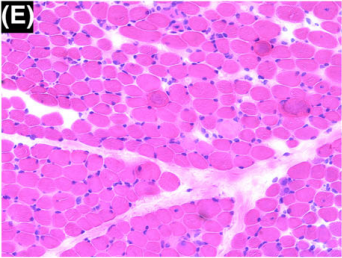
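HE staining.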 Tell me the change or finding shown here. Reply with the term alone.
Muscle fibers with hypertrophy and atrophy.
